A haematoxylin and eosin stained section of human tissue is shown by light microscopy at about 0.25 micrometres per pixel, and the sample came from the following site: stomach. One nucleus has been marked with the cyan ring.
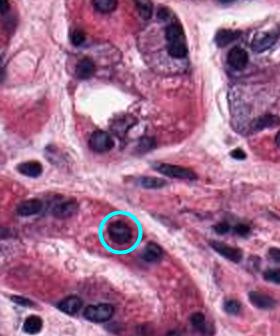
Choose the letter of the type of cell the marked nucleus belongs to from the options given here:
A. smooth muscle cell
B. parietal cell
B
